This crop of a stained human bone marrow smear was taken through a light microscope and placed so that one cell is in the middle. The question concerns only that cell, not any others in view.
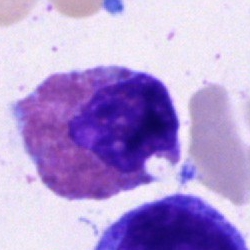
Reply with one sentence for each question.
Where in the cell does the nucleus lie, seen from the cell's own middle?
The nucleus is pushed toward the right of the cell.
